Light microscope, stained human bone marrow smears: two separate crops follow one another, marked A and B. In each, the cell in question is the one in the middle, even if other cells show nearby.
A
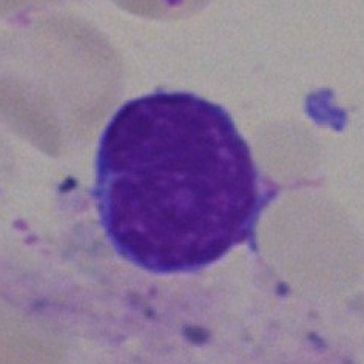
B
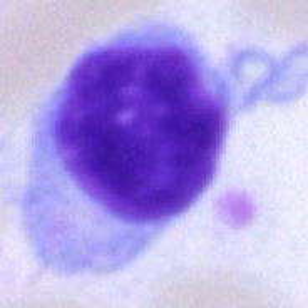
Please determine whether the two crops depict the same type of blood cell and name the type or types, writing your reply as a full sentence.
Yes, both crops in this set show lymphocytes.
